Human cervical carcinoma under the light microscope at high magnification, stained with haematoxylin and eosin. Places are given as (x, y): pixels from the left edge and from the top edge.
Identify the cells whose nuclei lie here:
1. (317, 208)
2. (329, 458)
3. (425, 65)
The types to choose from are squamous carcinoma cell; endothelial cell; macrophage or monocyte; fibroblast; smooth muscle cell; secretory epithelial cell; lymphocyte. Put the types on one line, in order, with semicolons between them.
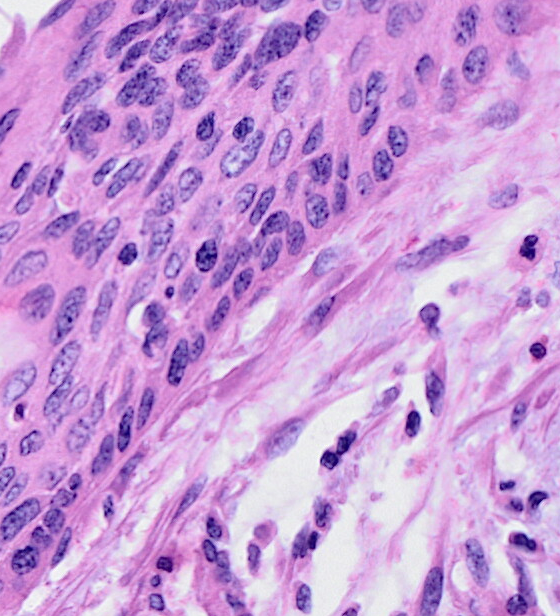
squamous carcinoma cell; lymphocyte; squamous carcinoma cell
